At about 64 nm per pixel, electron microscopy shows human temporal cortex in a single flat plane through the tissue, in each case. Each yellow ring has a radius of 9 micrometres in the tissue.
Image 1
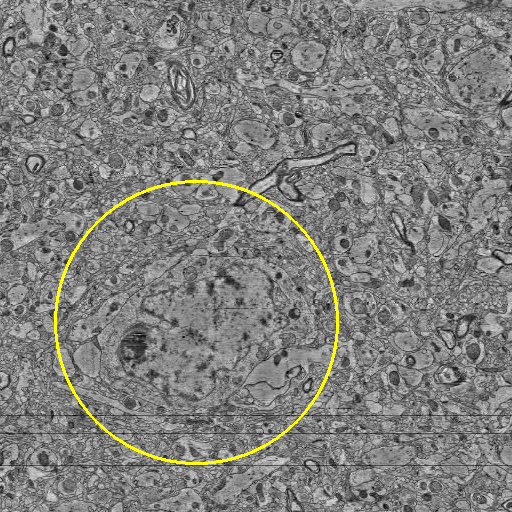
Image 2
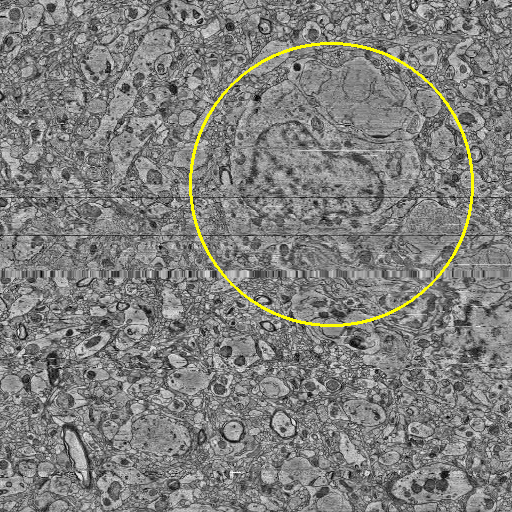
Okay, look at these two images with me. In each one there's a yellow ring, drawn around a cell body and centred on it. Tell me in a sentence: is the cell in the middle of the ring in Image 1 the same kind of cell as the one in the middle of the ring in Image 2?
Yes, they're the same kind of cell.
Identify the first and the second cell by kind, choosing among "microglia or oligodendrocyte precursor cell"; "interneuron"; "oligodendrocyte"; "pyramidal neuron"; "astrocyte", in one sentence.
Each of the two pictures has an interneuron at the ring centre.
